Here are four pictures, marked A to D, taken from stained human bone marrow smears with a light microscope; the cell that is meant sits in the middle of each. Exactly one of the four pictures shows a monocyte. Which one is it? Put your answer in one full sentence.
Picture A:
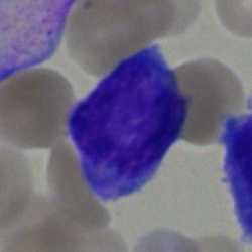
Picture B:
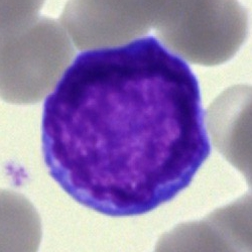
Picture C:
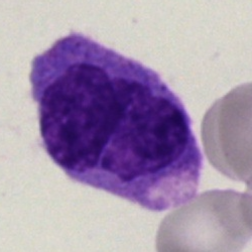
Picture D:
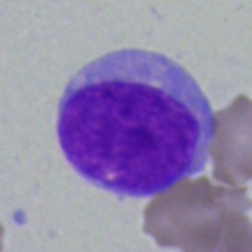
The picture with the monocyte is C.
